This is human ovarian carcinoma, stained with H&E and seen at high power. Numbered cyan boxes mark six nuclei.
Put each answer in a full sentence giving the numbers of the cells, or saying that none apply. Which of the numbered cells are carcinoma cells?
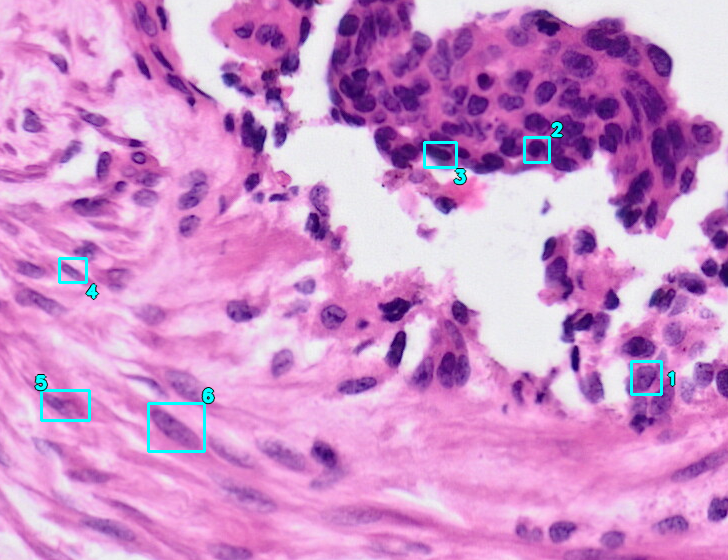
The cells with numbers 1, 2 and 3 are carcinoma cells by type.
